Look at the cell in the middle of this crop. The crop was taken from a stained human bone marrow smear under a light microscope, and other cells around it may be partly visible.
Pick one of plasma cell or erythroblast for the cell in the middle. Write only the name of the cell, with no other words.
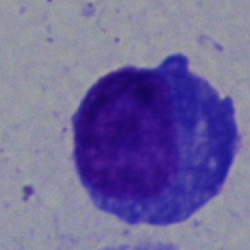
plasma cell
